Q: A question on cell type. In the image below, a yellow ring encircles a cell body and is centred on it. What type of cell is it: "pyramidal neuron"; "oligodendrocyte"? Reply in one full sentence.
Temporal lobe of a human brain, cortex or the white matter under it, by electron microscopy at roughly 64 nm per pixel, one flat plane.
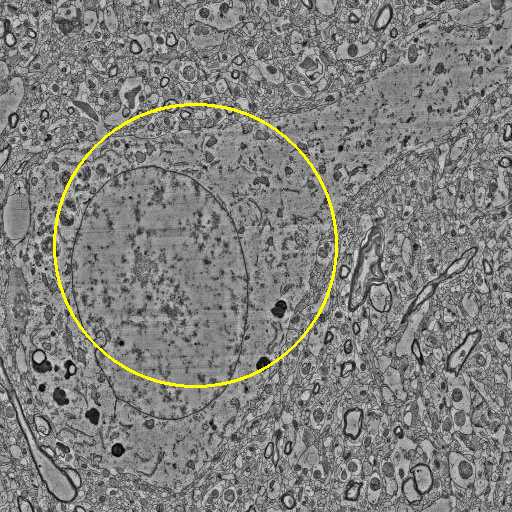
It is a pyramidal neuron whose cell body sits at the centre of the yellow ring in the image.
